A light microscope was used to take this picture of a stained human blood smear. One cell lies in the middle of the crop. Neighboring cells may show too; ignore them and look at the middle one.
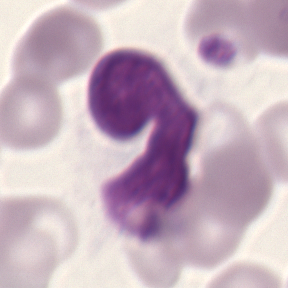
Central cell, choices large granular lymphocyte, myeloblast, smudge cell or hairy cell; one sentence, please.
The cell under consideration, at the middle of the crop, is a smudge cell.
